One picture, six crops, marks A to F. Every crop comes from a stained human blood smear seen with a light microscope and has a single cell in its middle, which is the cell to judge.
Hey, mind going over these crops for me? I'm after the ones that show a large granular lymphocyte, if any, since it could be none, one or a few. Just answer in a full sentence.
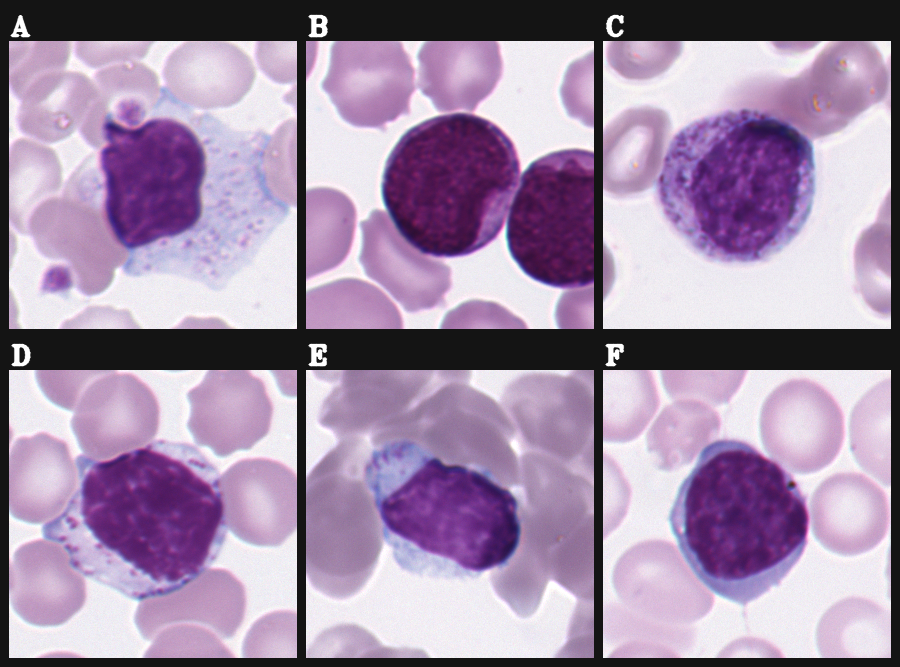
Of the crops in this set, A, D and E show large granular lymphocytes.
